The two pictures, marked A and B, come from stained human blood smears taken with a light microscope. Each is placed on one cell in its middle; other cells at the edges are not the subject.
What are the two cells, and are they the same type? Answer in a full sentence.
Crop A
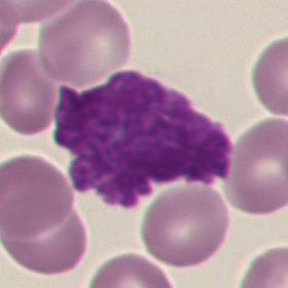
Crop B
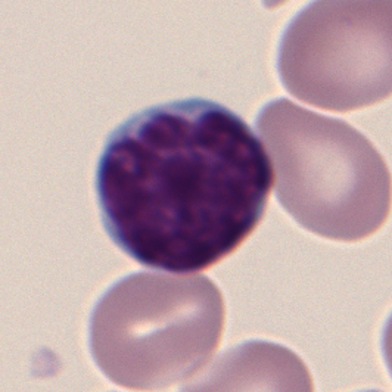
No, a smudge cell is depicted by crop A, a typical lymphocyte by crop B.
